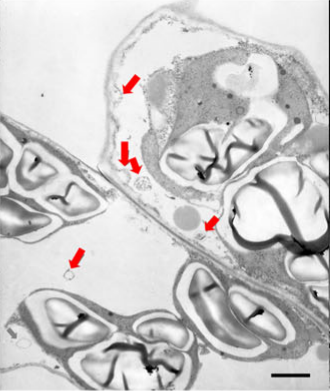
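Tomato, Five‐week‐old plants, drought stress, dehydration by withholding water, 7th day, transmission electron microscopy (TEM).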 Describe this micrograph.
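This electron micrograph shows leaf mesophyll cells packed with chloroplasts that are filled by large pale starch grains, many of them with dark cracks. The chloroplasts are rounded and bulky rather than slim and lens-shaped. At the top of the field a cell shows its pale vacuole with a thin rim of cytoplasm along the wall. Small round membrane-bound autophagic bodies, some pale and some grey, lie in the vacuole and near the cytoplasmic rim, pointed out by the red arrows. The cytoplasm around them looks sparse and patchy.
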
